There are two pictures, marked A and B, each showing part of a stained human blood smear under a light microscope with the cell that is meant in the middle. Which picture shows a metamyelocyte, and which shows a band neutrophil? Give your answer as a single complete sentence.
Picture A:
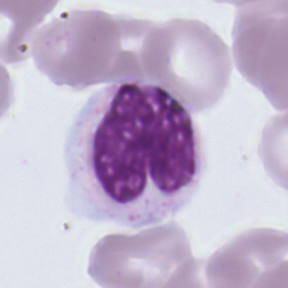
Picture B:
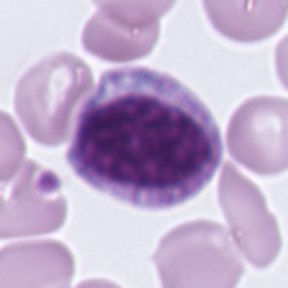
The cell in picture A is a band neutrophil, and the one in picture B is a metamyelocyte.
